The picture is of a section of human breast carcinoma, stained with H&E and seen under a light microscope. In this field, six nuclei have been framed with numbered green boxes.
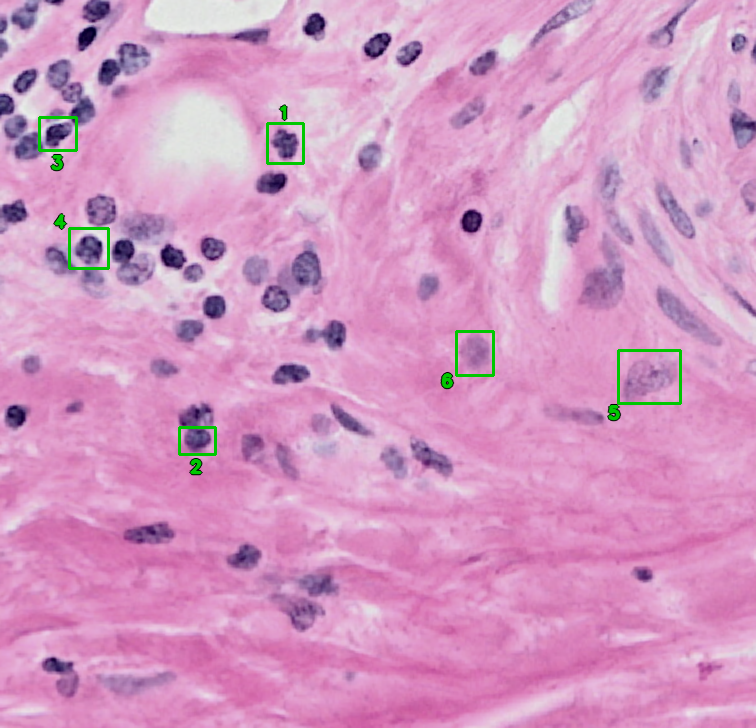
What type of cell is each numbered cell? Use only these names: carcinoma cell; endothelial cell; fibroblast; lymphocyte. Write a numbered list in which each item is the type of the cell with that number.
1. lymphocyte
2. lymphocyte
3. lymphocyte
4. lymphocyte
5. fibroblast
6. fibroblast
